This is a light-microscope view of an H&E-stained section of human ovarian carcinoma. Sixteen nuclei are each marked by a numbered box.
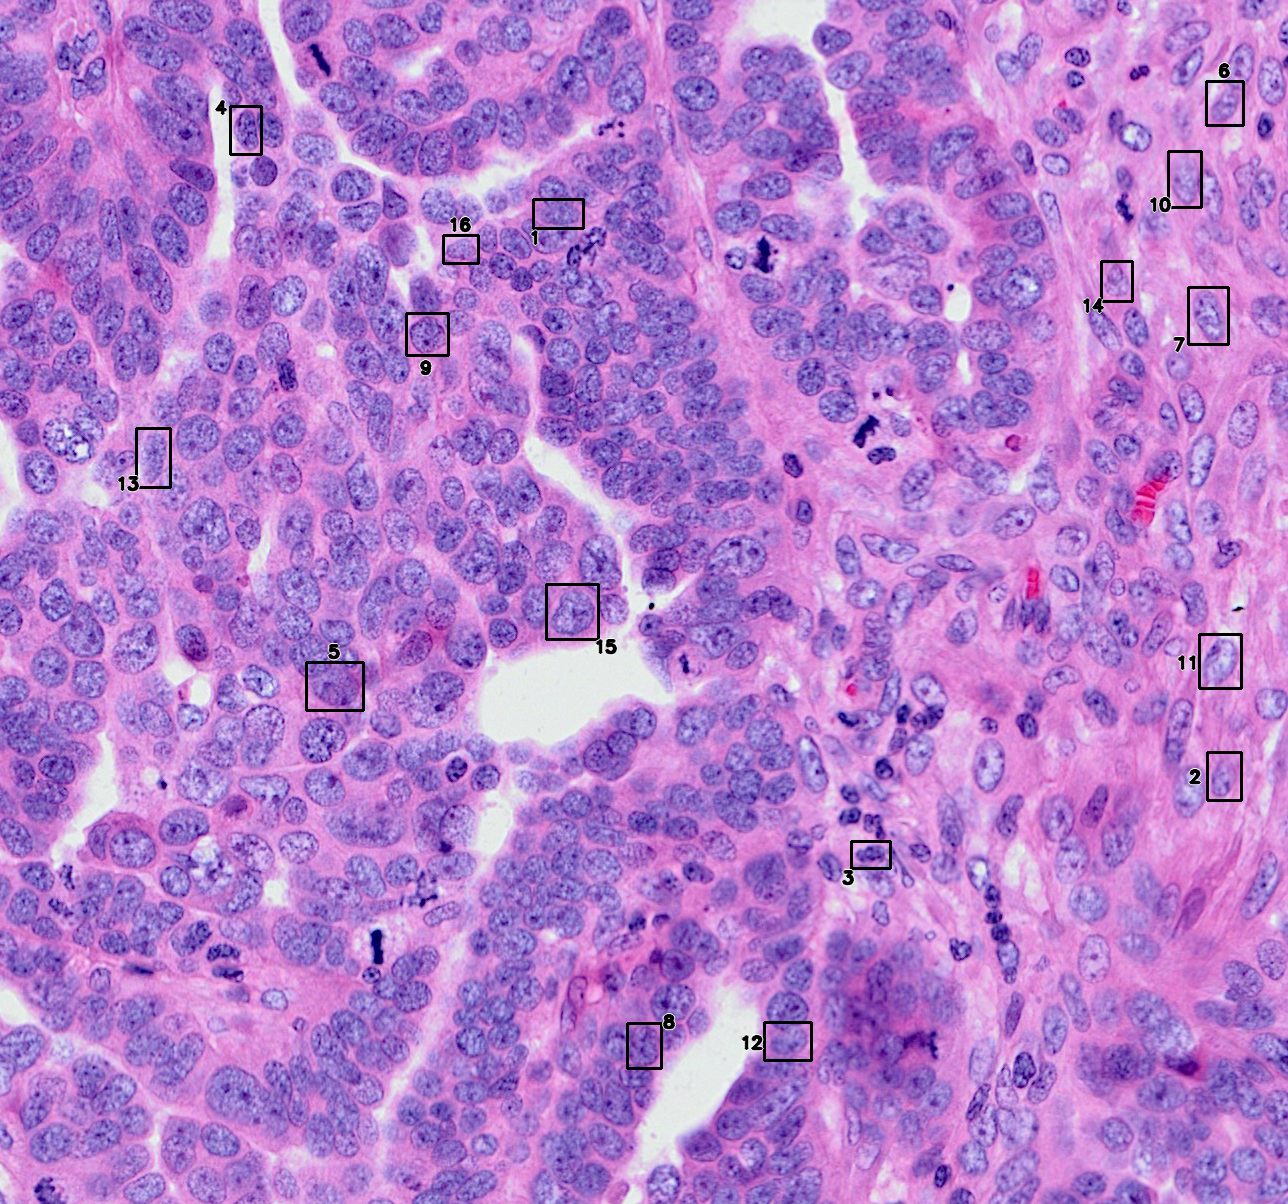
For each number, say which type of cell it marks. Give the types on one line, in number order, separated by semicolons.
carcinoma cell; fibroblast; lymphocyte; carcinoma cell; carcinoma cell; fibroblast; fibroblast; carcinoma cell; carcinoma cell; fibroblast; fibroblast; carcinoma cell; carcinoma cell; fibroblast; carcinoma cell; carcinoma cell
